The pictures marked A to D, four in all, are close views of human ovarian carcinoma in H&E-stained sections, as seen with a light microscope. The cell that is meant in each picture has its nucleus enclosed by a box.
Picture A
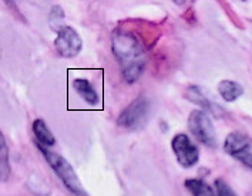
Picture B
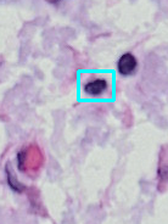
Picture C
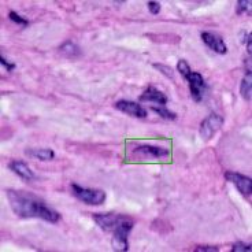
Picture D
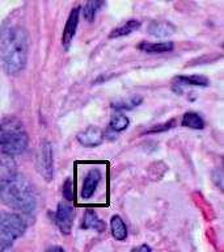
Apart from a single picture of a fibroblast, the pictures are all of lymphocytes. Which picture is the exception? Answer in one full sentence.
The picture with the fibroblast is C.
